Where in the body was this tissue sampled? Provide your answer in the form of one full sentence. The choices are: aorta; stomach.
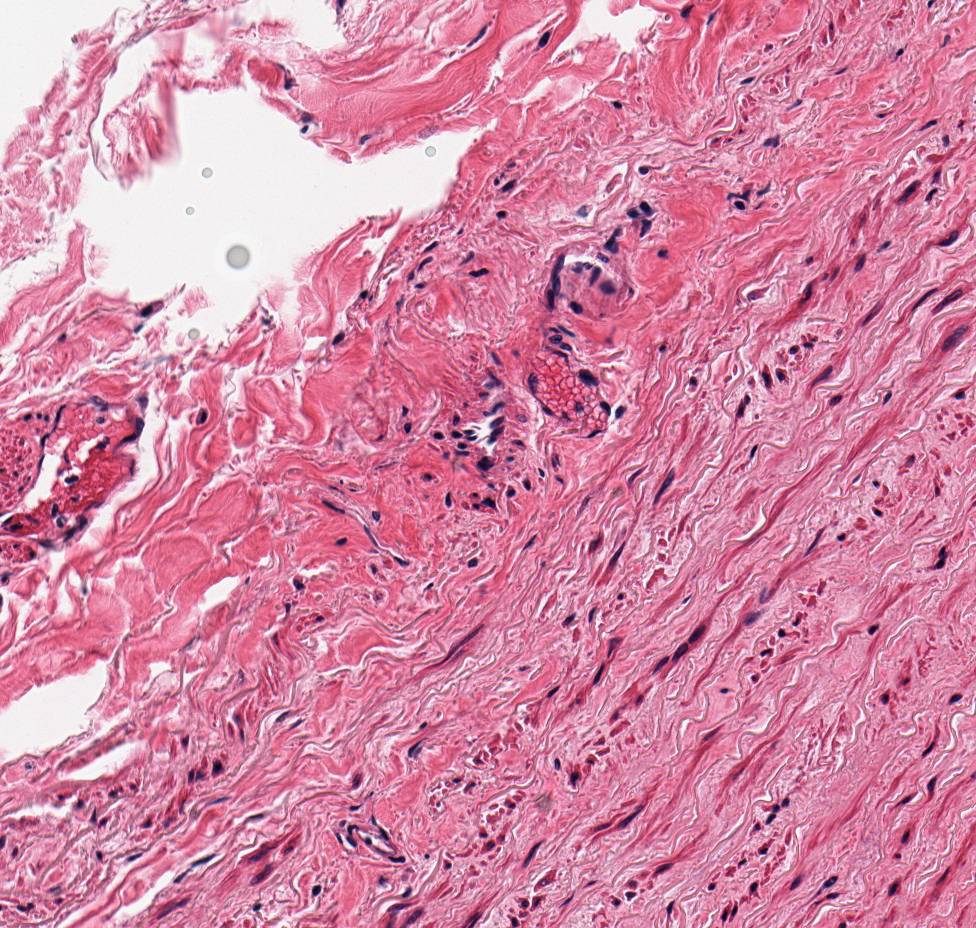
From the aorta this tissue was sampled.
